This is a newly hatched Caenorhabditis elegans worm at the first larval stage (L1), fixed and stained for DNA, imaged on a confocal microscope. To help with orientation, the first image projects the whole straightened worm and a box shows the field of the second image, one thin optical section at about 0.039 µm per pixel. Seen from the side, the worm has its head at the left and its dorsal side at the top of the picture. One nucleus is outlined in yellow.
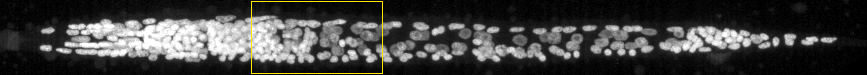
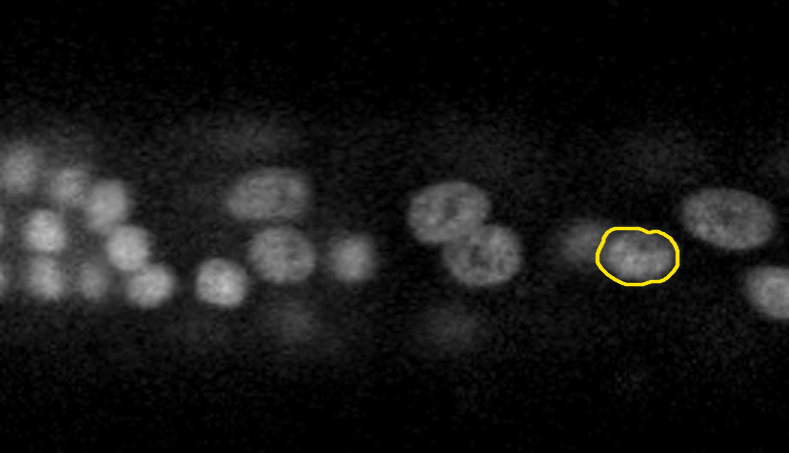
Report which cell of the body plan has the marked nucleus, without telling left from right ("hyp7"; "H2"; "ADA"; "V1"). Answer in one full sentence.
The marked cell is V1, a seam cell.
